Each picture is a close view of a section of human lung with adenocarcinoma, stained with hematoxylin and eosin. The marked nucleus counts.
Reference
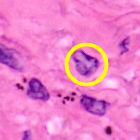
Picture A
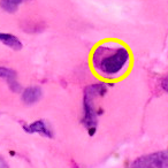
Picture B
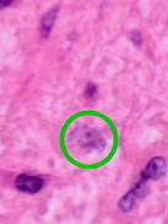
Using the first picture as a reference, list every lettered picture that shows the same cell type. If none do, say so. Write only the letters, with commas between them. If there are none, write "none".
B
